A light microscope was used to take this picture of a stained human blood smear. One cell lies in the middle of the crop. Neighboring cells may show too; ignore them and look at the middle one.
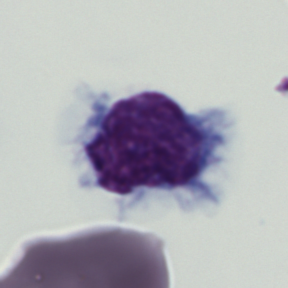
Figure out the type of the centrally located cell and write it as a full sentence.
By type, the central cell of the crop is a hairy cell.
